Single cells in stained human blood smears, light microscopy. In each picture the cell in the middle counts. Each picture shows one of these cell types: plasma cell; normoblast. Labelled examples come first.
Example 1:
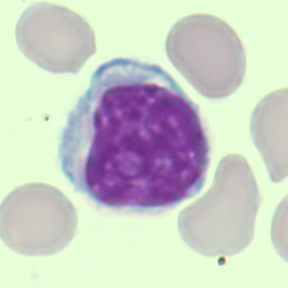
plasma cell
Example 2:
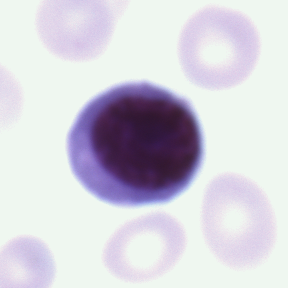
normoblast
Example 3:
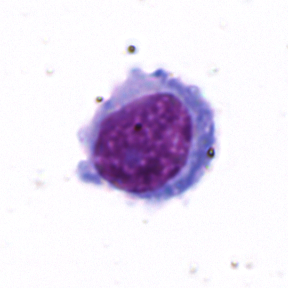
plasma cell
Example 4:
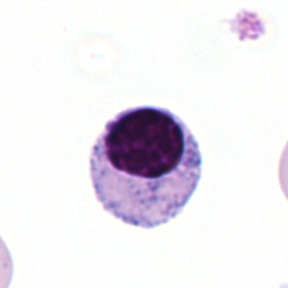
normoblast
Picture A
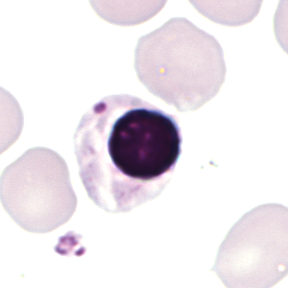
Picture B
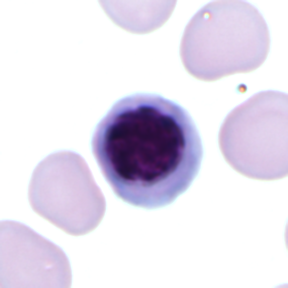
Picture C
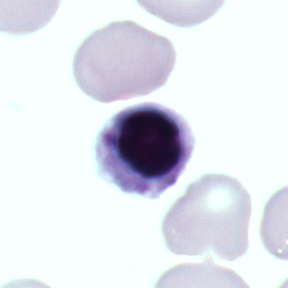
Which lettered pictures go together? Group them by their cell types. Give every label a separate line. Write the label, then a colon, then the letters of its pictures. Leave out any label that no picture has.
normoblast: A, B, C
